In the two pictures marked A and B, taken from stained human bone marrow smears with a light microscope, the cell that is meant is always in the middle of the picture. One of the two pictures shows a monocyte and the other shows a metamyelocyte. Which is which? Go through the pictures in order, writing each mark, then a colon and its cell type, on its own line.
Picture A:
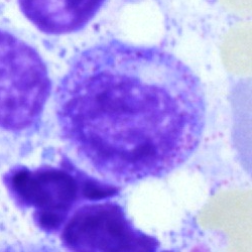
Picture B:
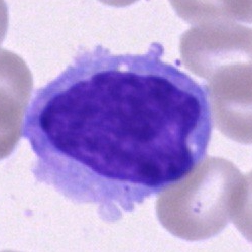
A: metamyelocyte
B: monocyte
